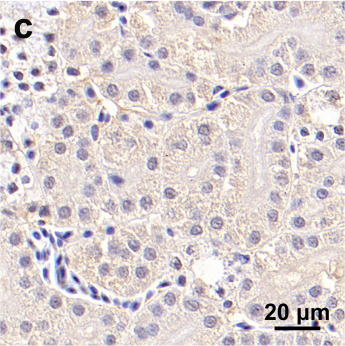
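Rings of cuboidal epithelial cells with round central blue nuclei and pale, finely granular cytoplasm surround small lumens, with a few flattened nuclei between them. No brownish-yellow deposits are seen. These are normal kidney tubules.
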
